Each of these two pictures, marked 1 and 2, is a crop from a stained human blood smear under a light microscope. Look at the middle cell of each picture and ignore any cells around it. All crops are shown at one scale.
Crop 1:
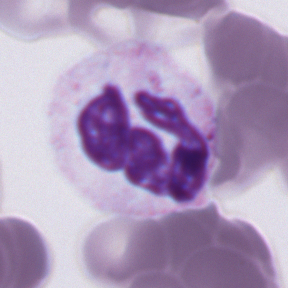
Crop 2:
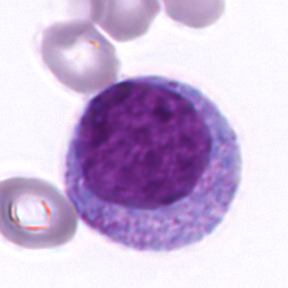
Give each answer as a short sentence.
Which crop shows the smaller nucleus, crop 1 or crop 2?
Crop 1 shows the smaller nucleus, since that in crop 2 covers about 1.5 times as much area.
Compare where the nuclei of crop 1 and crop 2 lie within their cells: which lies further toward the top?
Seen within its cell, the nucleus in crop 2 lies further toward the top.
